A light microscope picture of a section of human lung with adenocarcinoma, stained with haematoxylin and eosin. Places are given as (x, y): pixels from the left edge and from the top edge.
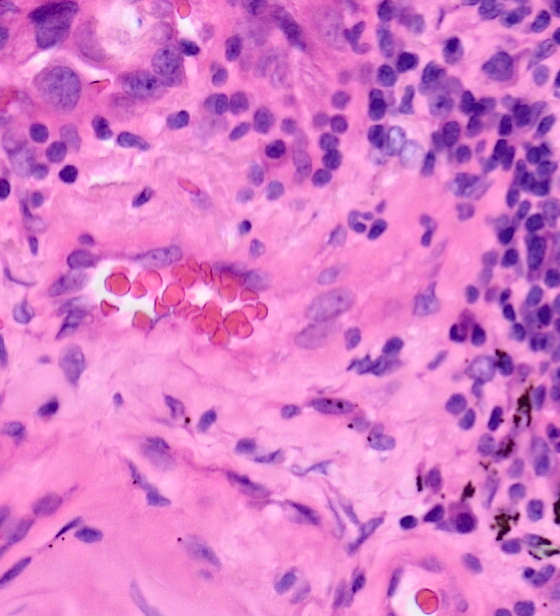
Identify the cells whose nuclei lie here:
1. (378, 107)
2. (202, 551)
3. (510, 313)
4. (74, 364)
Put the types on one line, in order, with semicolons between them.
lymphocyte; fibroblast; lymphocyte; fibroblast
